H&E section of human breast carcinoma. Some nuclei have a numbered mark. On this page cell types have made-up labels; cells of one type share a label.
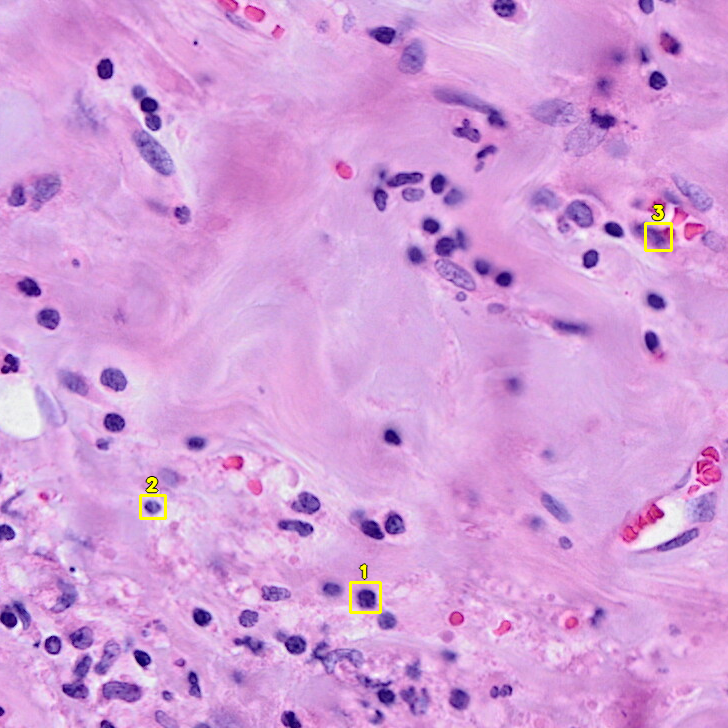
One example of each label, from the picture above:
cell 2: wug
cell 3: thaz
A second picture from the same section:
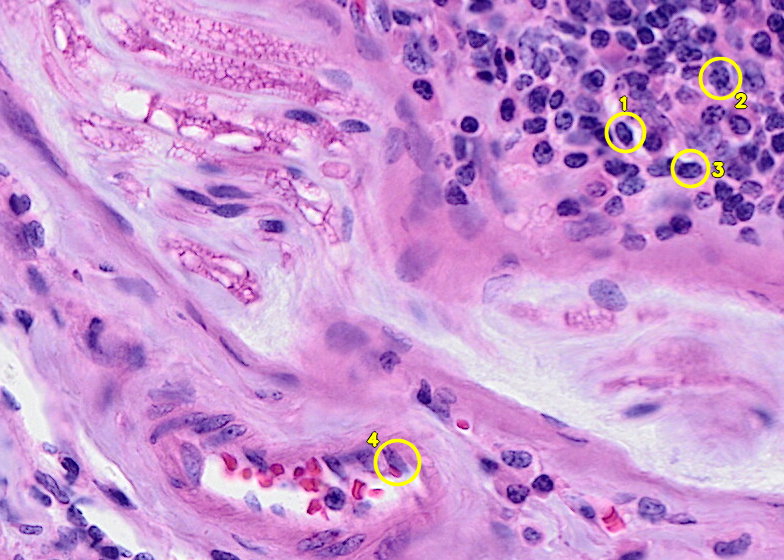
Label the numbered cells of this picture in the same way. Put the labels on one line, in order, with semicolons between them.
wug; wug; wug; thaz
